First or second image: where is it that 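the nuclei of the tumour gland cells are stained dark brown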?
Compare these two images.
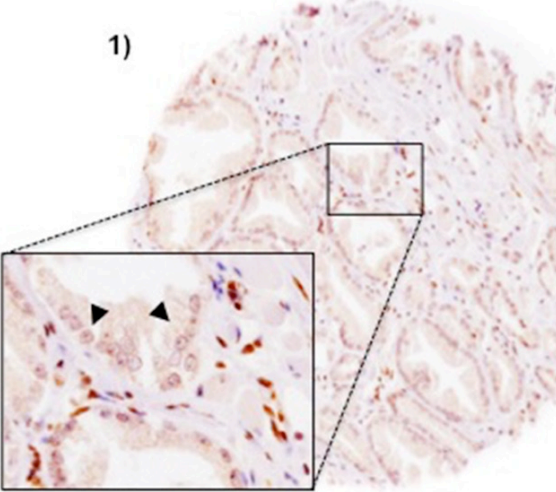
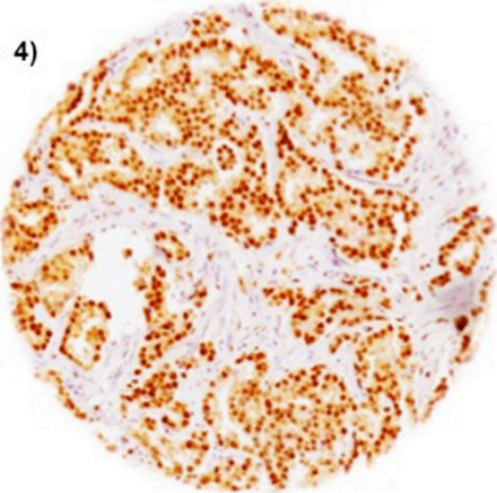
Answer: The second image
